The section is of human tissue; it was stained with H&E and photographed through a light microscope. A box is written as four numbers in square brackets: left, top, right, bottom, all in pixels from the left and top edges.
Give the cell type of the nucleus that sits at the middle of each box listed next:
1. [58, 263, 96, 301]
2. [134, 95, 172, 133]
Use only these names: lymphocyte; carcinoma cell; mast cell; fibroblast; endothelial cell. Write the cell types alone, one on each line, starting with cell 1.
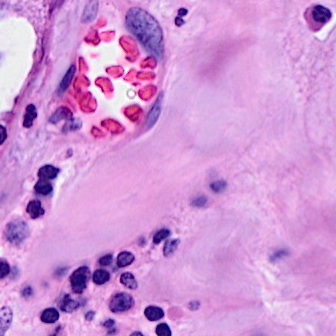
lymphocyte
endothelial cell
